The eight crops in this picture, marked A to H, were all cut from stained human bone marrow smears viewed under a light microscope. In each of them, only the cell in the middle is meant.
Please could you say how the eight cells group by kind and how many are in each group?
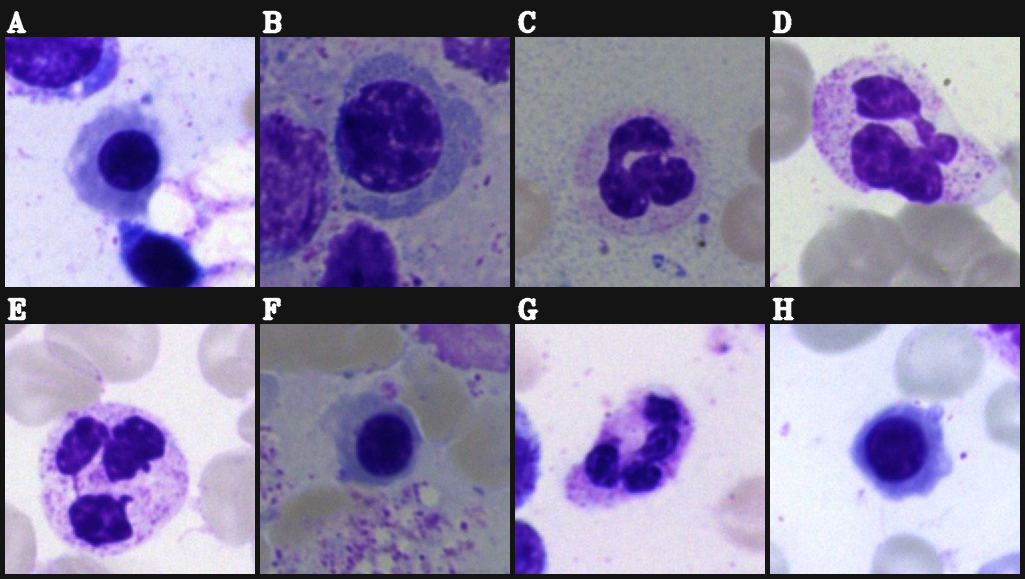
erythroblast: 4
segmented neutrophil: 4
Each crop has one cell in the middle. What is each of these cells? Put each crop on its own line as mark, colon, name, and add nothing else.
A: erythroblast
B: erythroblast
C: segmented neutrophil
D: segmented neutrophil
E: segmented neutrophil
F: erythroblast
G: segmented neutrophil
H: erythroblast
